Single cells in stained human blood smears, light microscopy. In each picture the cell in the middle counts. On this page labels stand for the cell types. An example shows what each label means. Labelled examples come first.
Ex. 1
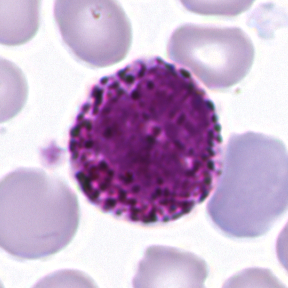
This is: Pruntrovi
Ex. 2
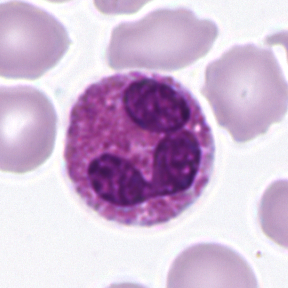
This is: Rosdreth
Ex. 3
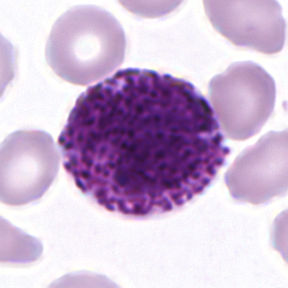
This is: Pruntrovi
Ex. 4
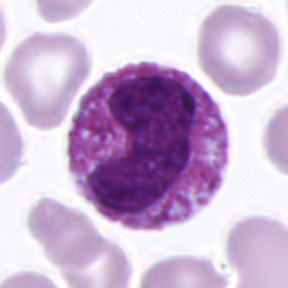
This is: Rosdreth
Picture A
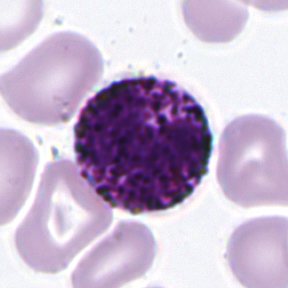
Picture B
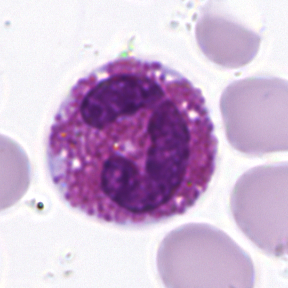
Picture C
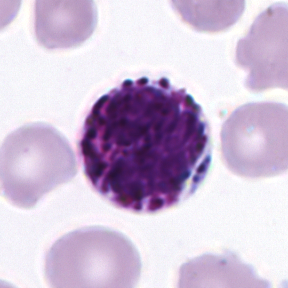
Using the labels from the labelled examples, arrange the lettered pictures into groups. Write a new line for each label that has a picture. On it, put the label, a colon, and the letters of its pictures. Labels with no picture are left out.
Pruntrovi: A, C
Rosdreth: B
